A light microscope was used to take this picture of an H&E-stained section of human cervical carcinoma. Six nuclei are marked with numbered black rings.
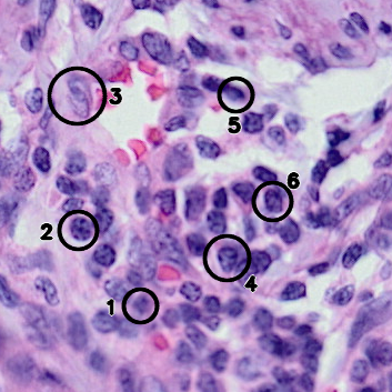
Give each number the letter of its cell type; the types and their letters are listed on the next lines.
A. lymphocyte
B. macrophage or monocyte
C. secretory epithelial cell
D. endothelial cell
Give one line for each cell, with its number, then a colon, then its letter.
1: D
2: A
3: D
4: A
5: A
6: A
